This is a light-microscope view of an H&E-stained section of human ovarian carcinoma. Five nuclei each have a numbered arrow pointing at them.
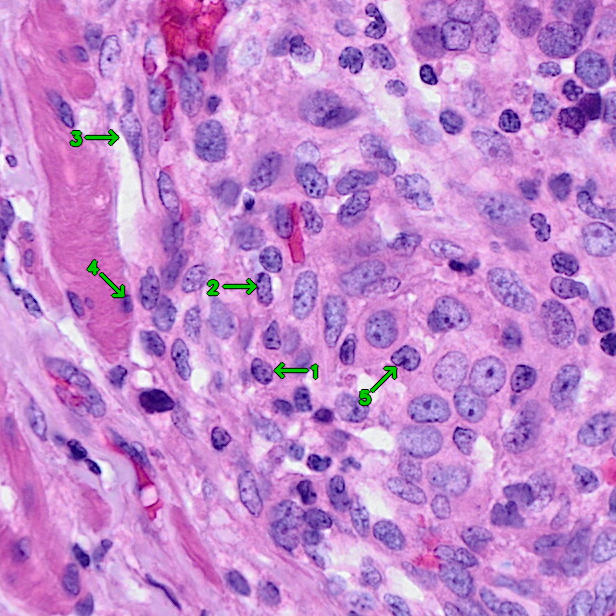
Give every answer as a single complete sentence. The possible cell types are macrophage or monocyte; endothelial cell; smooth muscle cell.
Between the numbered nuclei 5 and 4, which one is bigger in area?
Number 5 is larger; its area is about 4 times that of number 4.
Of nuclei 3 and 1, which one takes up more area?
Number 3 is larger; its area is about 1.5 times that of number 1.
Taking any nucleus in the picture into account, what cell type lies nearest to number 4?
The cell nearest to number 4 is a macrophage or monocyte.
